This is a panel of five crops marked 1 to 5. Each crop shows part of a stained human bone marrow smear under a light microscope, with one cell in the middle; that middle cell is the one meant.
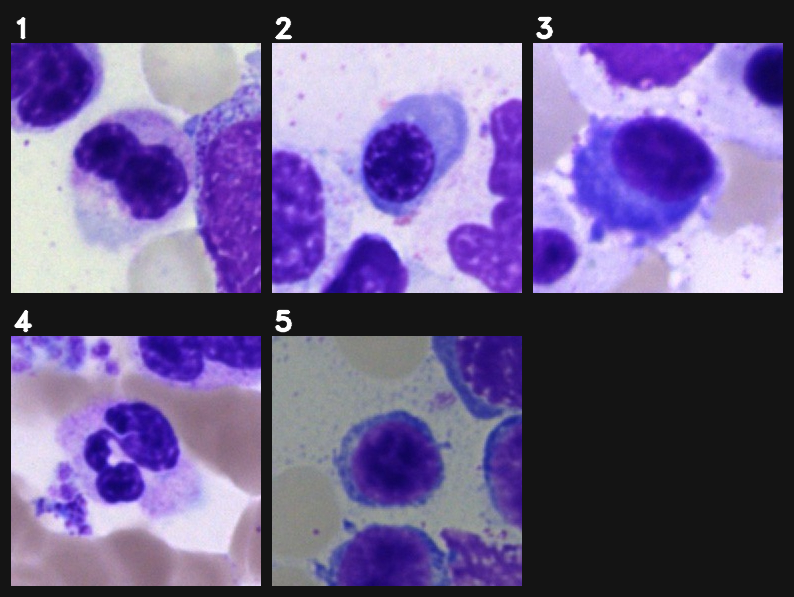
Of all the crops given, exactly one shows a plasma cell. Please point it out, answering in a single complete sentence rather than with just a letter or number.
Among the crops, only crop 3 contains a plasma cell.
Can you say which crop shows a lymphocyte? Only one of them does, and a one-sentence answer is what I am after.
Crop 5 shows a lymphocyte, and no other crop does.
